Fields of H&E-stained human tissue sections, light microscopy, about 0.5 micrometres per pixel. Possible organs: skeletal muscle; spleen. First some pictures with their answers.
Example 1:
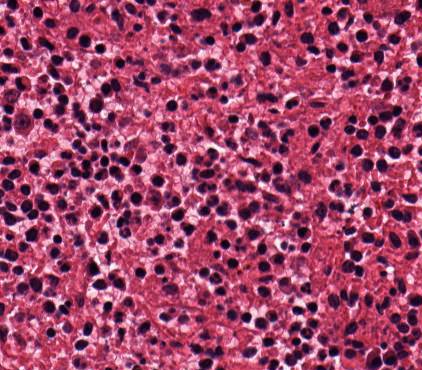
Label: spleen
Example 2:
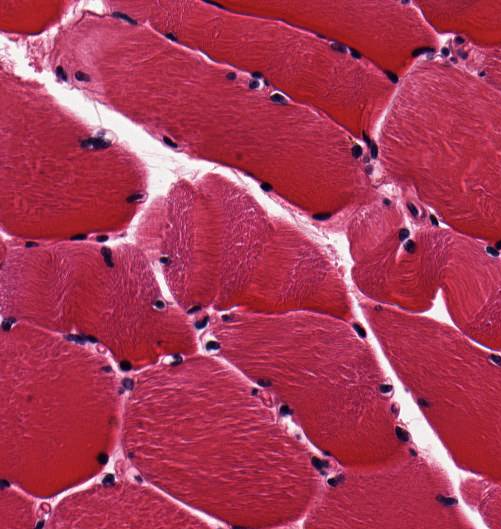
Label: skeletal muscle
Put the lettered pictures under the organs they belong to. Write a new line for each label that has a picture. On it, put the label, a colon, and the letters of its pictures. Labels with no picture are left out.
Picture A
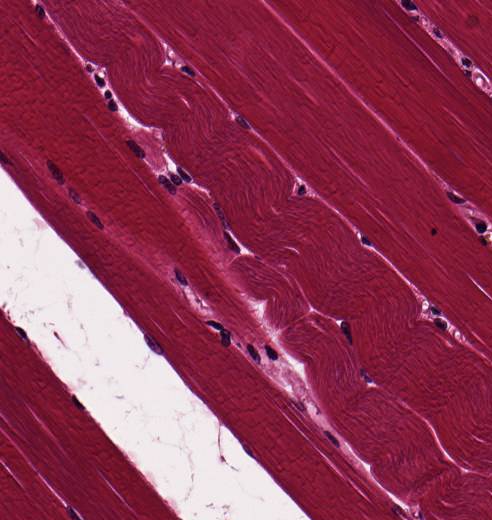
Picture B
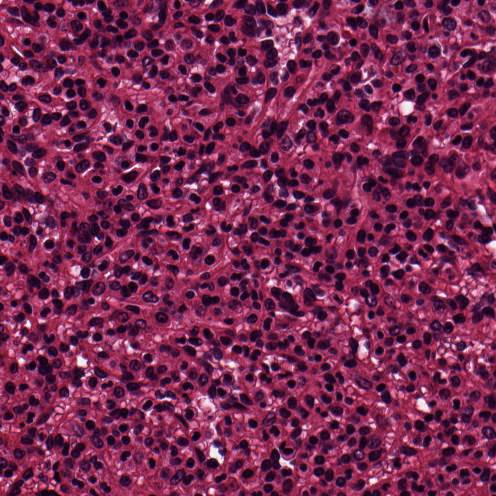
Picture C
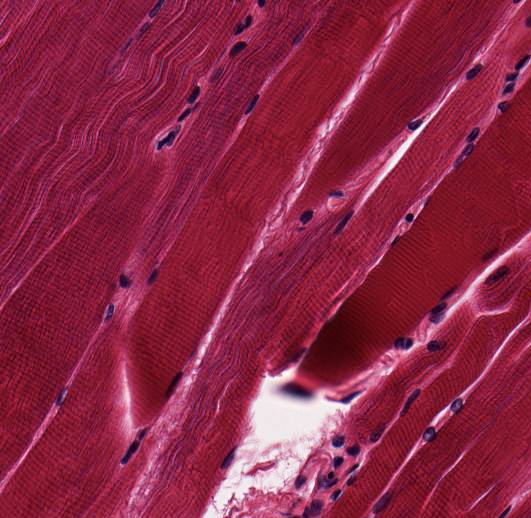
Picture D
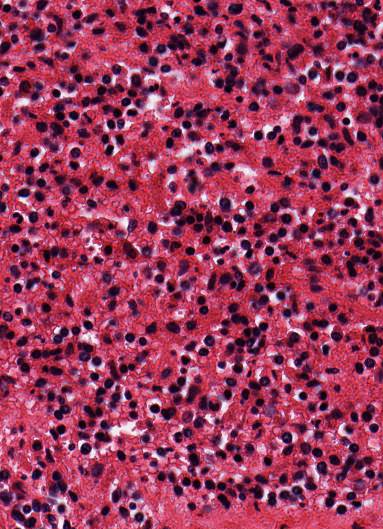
skeletal muscle: A, C
spleen: B, D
